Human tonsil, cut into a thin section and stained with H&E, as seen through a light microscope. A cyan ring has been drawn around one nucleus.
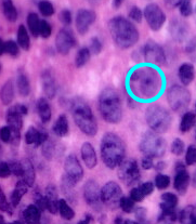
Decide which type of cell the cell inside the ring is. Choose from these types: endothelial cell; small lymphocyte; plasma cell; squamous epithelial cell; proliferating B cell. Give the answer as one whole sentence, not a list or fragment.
Histopathologically, the cell inside the ring is a proliferating B cell.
